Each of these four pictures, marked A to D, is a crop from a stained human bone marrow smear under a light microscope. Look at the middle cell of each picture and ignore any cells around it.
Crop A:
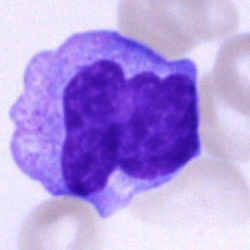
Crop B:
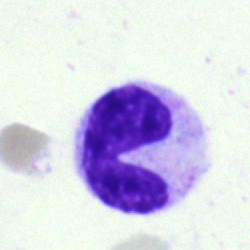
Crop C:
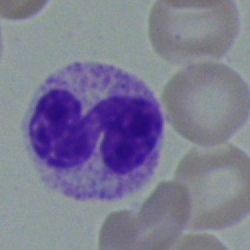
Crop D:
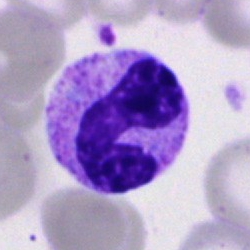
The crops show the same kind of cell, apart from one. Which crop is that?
A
